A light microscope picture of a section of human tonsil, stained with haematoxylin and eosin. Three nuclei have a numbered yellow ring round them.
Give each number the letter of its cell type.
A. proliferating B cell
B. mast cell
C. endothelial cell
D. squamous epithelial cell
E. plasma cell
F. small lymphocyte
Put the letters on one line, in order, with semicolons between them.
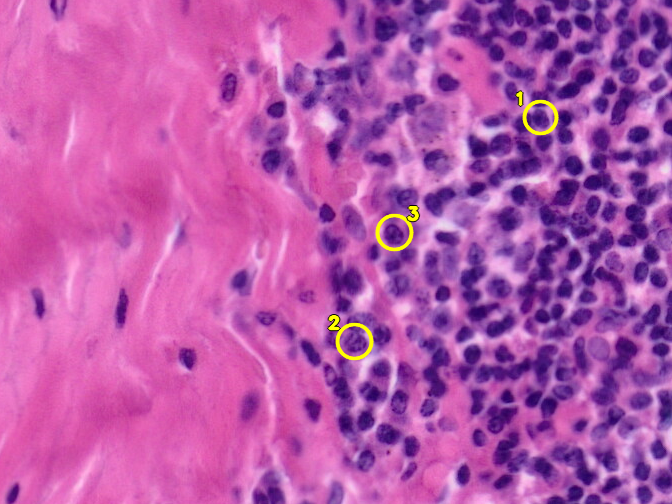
F; E; E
